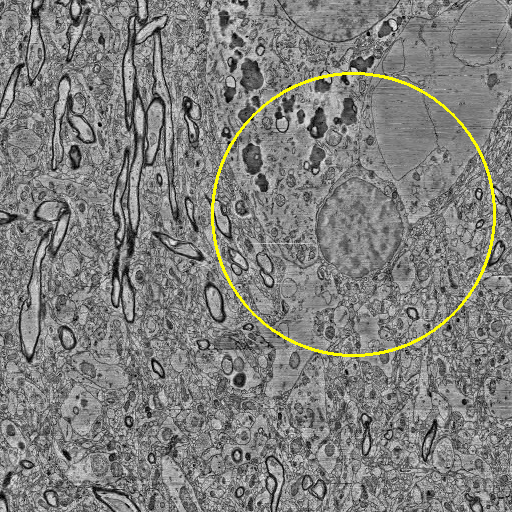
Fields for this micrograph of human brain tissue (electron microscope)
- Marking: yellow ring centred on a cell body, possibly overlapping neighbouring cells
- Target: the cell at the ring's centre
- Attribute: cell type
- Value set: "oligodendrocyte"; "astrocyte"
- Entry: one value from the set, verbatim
oligodendrocyte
